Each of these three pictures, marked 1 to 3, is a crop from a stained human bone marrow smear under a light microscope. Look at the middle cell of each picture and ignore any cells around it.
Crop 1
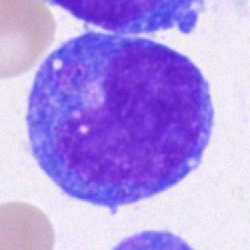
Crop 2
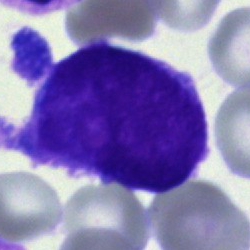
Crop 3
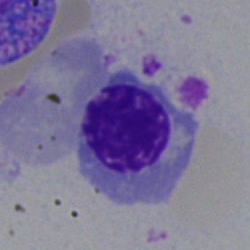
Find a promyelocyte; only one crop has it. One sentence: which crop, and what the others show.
What crop 1 shows is a promyelocyte, while crop 2 is a blast and crop 3 is a normoblast.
